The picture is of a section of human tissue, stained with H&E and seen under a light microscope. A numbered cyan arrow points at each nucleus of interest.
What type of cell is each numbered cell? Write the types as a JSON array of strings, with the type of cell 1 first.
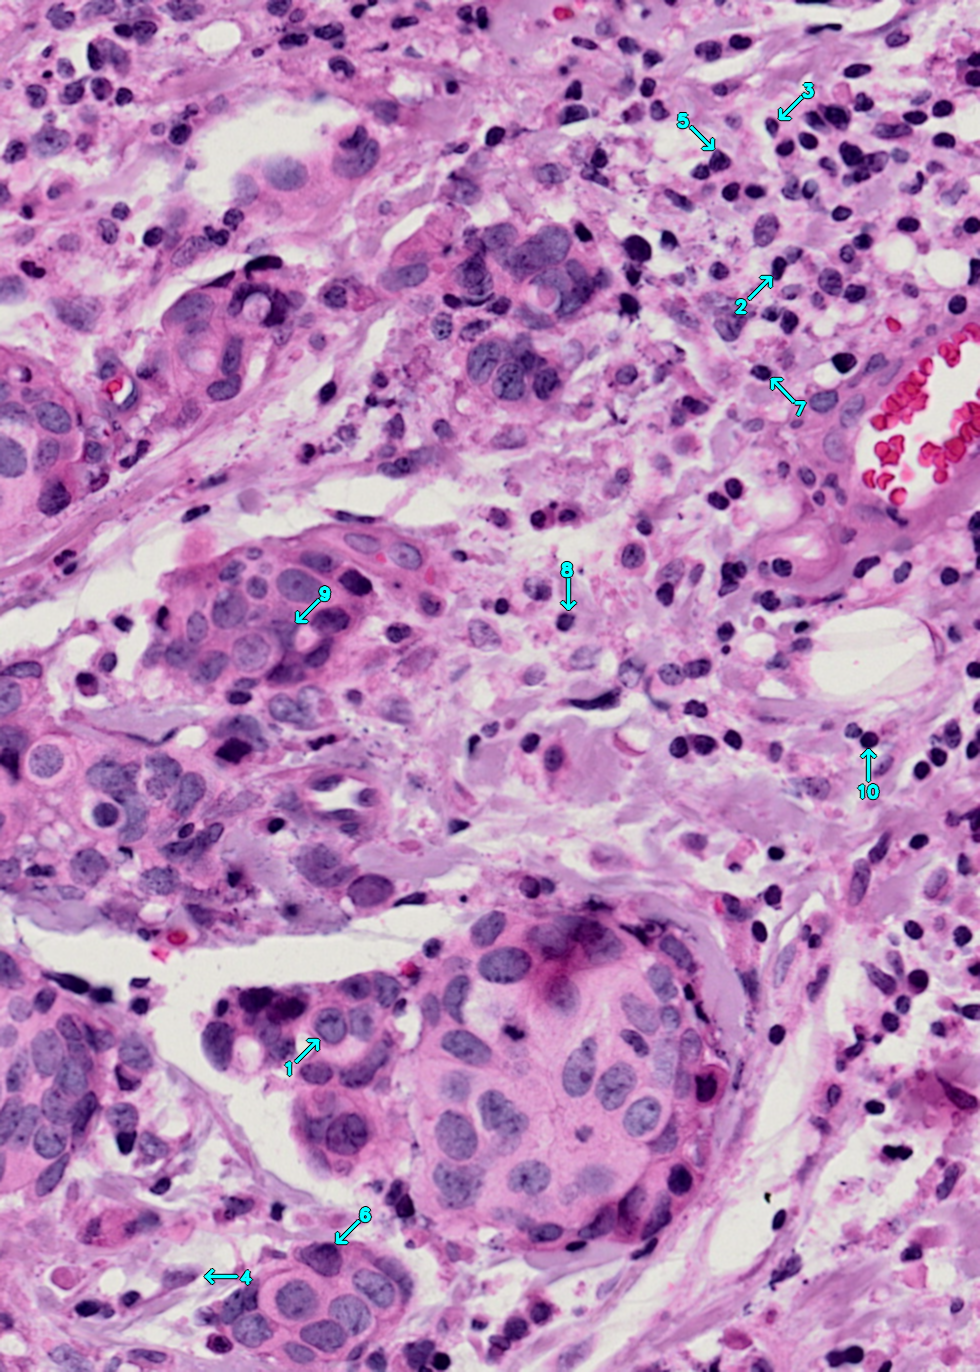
["carcinoma cell", "lymphocyte", "lymphocyte", "fibroblast", "lymphocyte", "carcinoma cell", "lymphocyte", "lymphocyte", "carcinoma cell", "lymphocyte"]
